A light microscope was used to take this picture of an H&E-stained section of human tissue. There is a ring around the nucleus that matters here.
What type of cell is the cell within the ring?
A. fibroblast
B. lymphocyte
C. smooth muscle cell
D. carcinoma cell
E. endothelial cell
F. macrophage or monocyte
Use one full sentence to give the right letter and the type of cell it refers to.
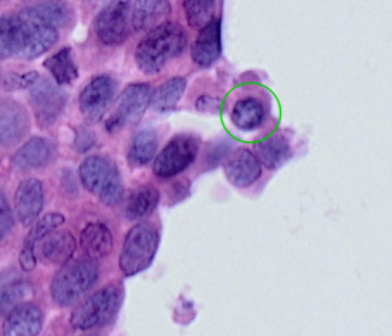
Option F names the cell within the ring correctly as a macrophage or monocyte.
